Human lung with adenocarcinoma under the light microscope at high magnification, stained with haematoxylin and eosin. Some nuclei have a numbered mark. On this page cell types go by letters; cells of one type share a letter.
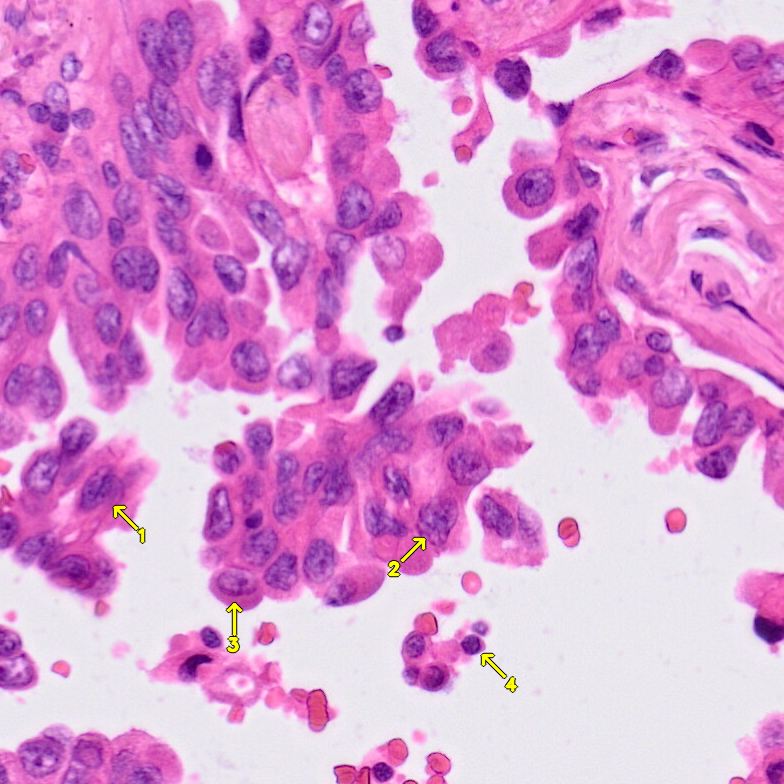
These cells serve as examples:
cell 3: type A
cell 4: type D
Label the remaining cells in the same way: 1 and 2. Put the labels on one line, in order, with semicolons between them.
type A; type A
